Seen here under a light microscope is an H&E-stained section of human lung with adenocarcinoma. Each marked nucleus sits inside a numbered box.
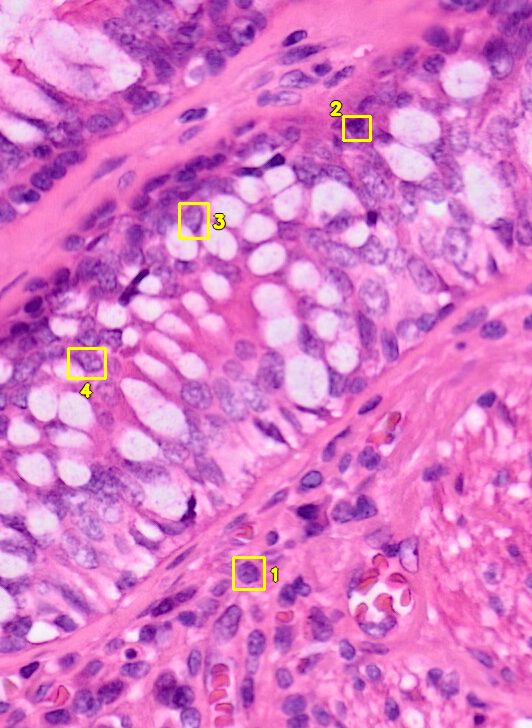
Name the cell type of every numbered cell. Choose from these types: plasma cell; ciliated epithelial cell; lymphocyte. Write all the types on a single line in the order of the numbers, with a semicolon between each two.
lymphocyte; ciliated epithelial cell; ciliated epithelial cell; ciliated epithelial cell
